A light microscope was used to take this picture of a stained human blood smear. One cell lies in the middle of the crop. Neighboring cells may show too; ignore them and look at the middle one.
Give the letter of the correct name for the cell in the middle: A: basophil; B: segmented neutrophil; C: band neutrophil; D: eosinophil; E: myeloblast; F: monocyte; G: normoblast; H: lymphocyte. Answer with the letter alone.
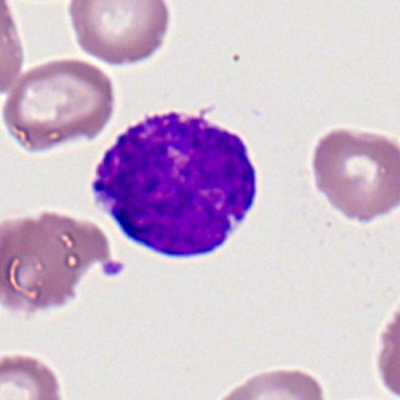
A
